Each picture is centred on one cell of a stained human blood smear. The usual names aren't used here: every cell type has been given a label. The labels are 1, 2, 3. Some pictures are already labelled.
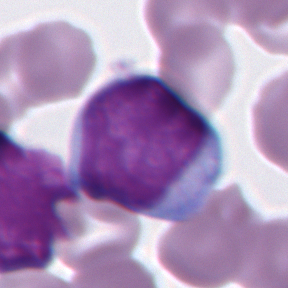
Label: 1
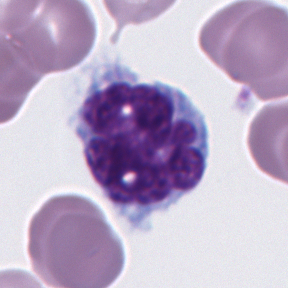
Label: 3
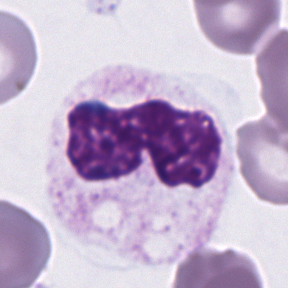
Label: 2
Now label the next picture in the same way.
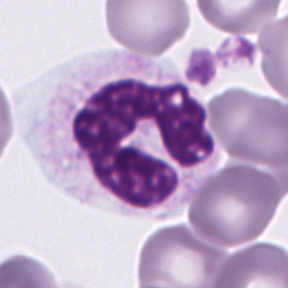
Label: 2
